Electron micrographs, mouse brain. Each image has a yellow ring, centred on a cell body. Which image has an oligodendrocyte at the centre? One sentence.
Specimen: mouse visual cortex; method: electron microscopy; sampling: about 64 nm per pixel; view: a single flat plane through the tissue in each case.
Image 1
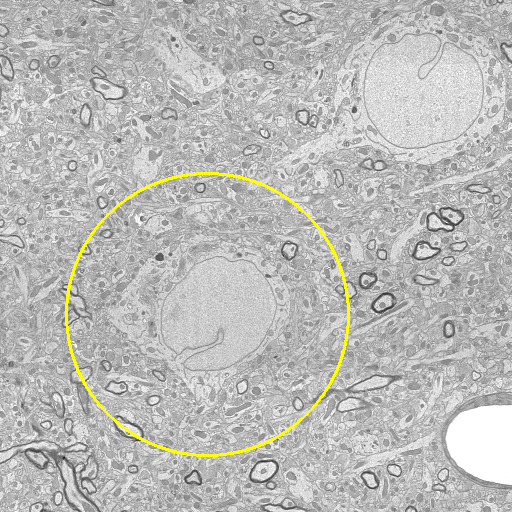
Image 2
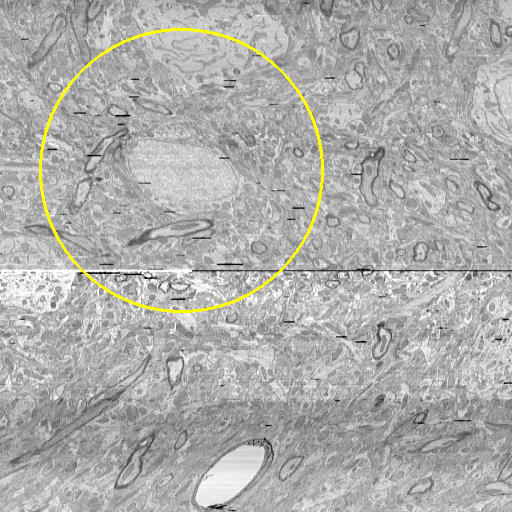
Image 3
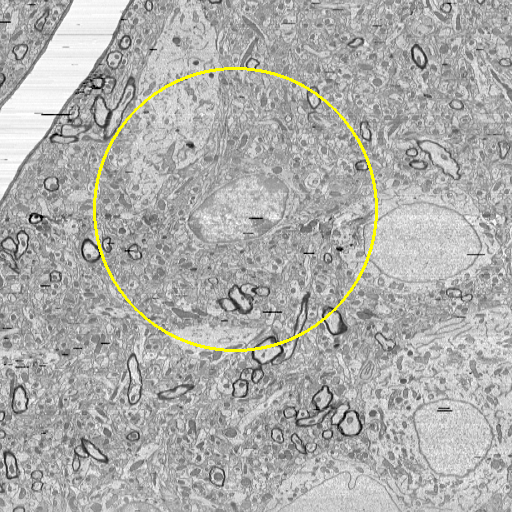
The ring in Image 3 is centred on it.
